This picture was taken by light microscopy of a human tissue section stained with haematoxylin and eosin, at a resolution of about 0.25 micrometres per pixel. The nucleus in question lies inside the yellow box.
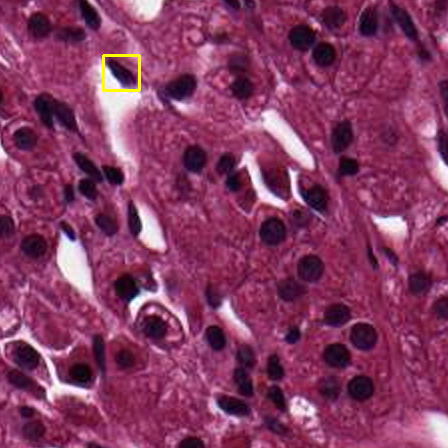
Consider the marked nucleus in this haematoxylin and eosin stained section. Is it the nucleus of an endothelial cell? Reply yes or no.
yes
